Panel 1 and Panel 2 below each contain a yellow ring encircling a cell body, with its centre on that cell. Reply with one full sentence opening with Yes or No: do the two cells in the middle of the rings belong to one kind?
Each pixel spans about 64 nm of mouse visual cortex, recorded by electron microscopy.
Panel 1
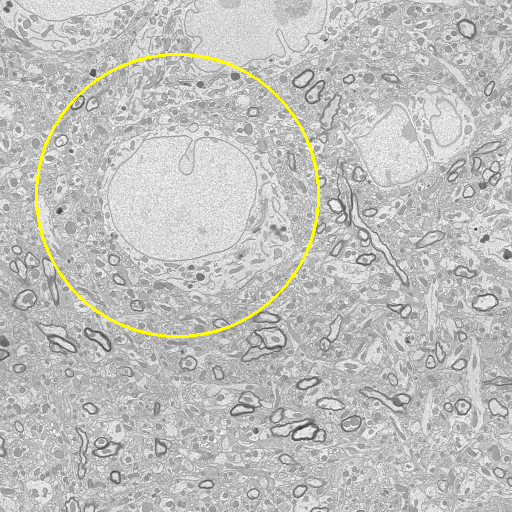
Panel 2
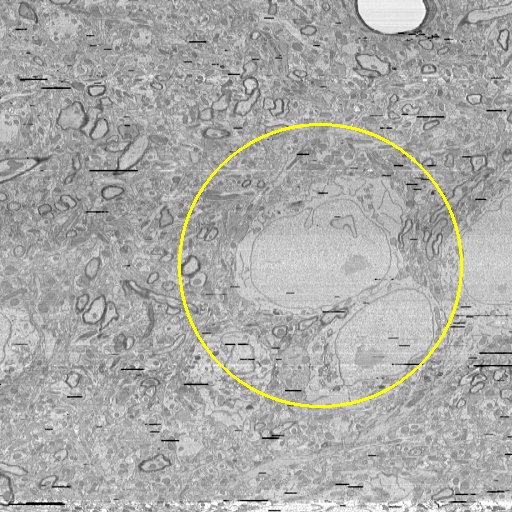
Yes, the cells at the middle of the Panel 1 ring and the Panel 2 ring are of one kind.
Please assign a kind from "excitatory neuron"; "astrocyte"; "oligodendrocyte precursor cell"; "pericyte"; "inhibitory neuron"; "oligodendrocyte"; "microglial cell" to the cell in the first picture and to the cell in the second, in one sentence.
In each of the two pictures, the ringed cell is an excitatory neuron.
